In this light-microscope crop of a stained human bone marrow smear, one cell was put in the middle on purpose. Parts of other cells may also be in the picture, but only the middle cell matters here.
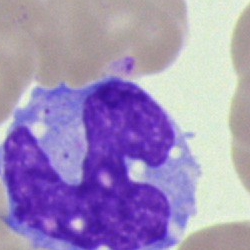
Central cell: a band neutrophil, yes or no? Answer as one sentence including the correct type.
No, the central cell qualifies as a monocyte rather than as a band neutrophil.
